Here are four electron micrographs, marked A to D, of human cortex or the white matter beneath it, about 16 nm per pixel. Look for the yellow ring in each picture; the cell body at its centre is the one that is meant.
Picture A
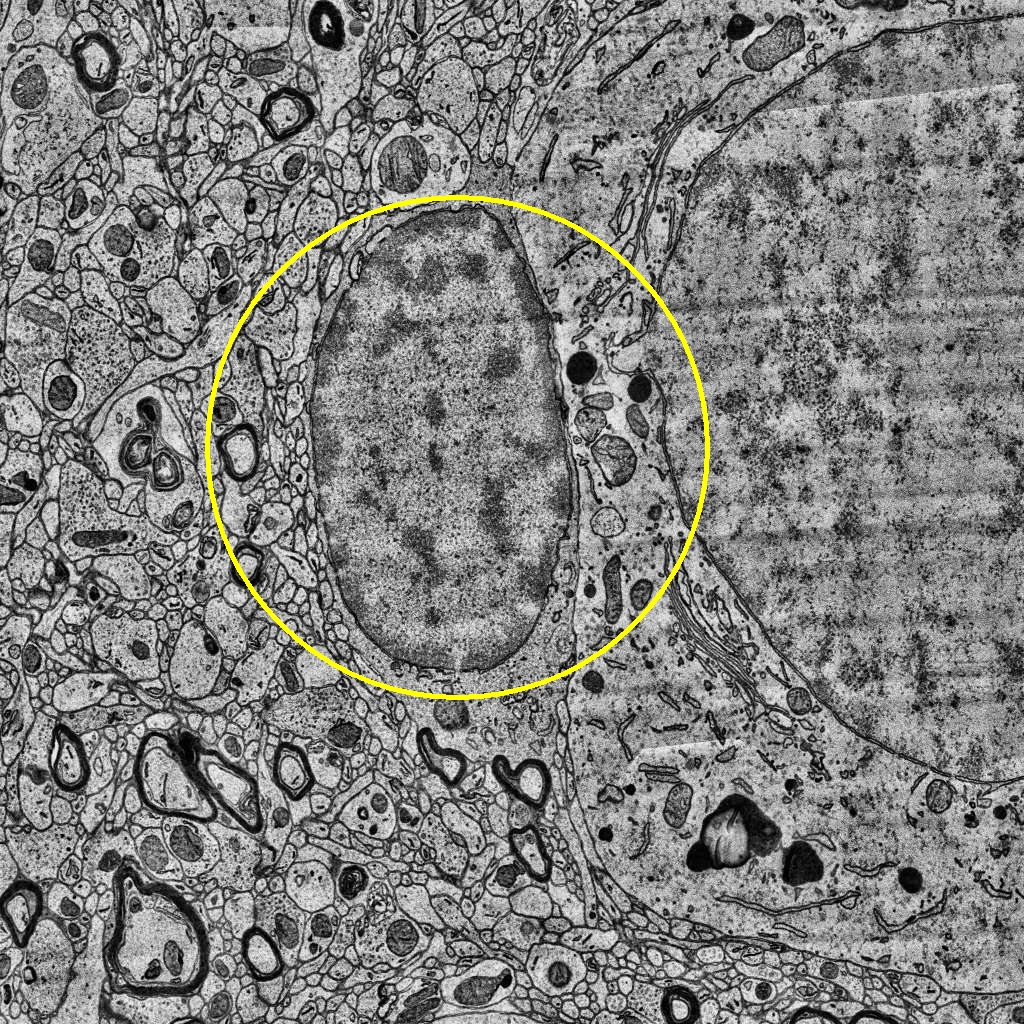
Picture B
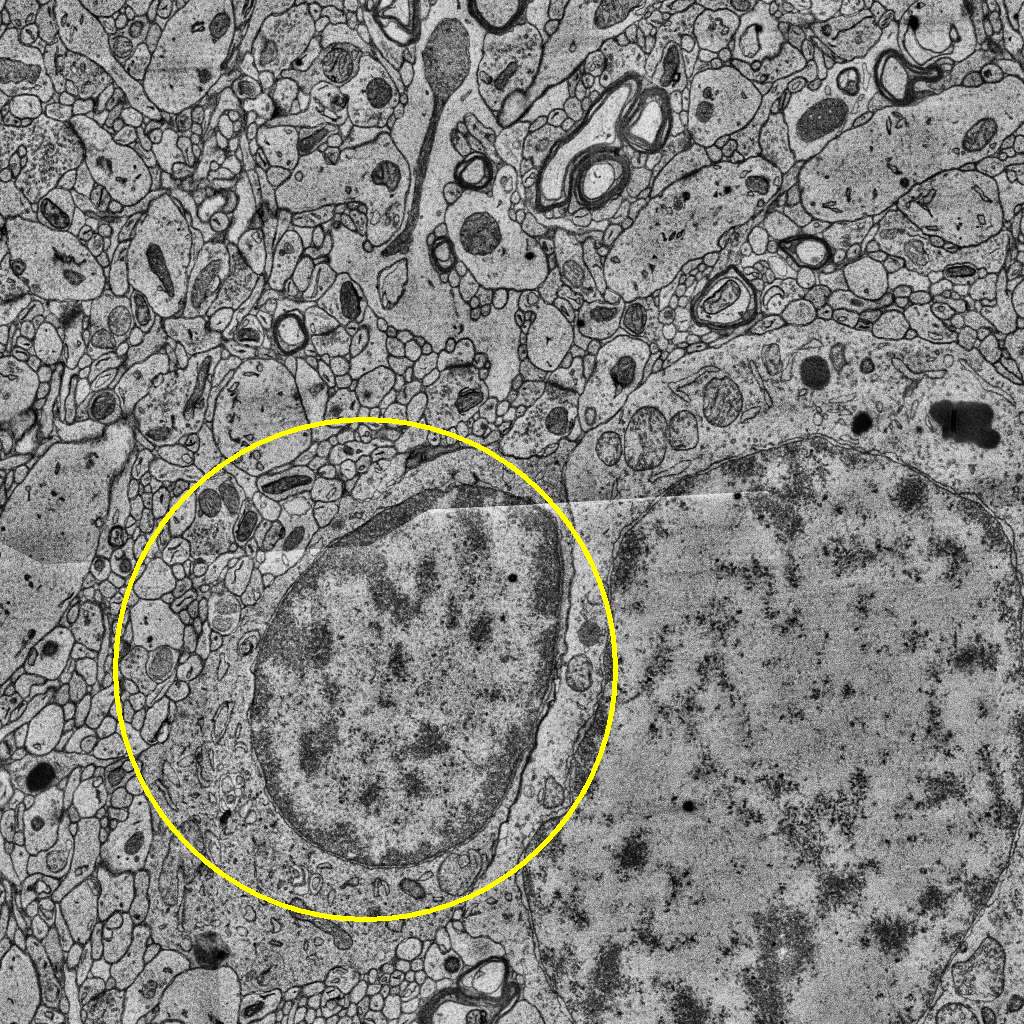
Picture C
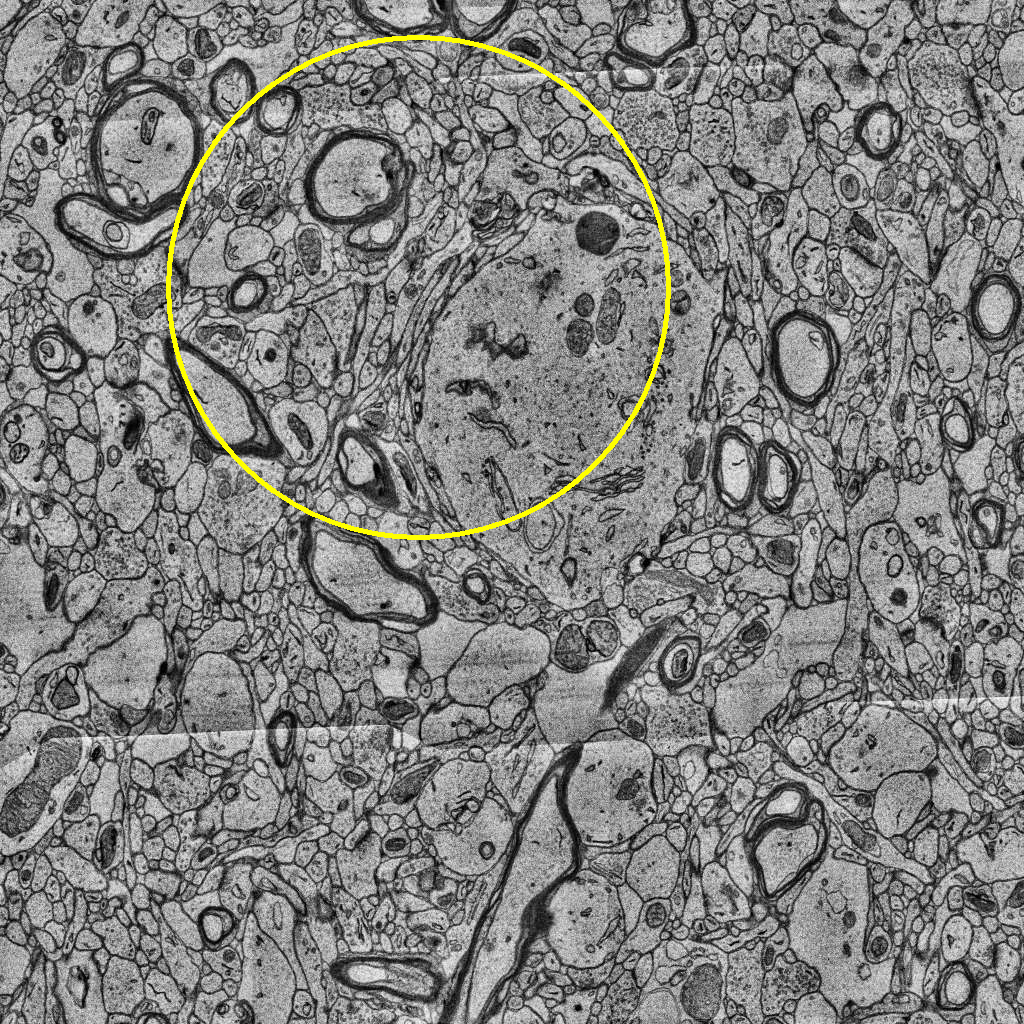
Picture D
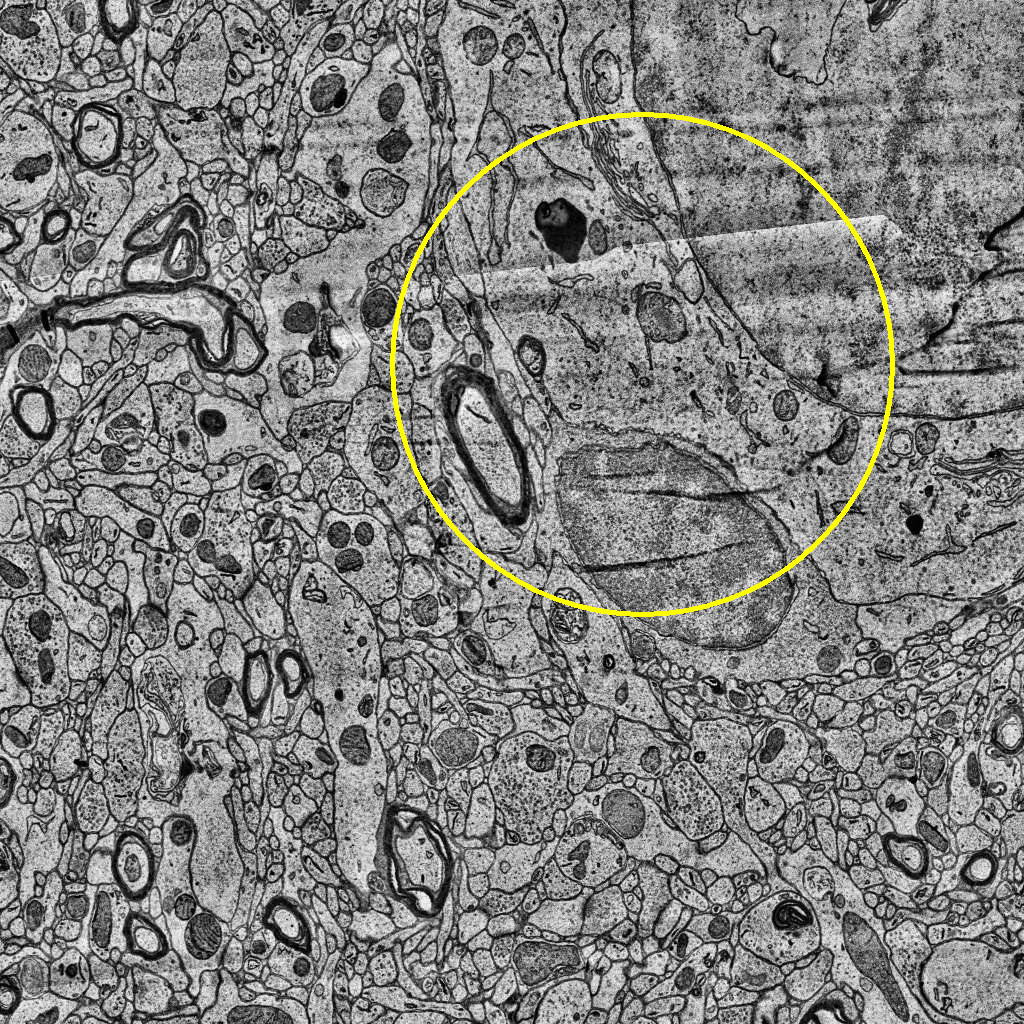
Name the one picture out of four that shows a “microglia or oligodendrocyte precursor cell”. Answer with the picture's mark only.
C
